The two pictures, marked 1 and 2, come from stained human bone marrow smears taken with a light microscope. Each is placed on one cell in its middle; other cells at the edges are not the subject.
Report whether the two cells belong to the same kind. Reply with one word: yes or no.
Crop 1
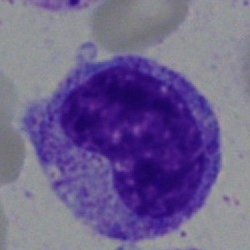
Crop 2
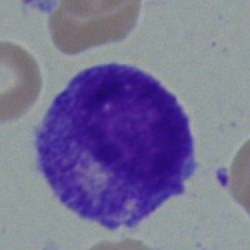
no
